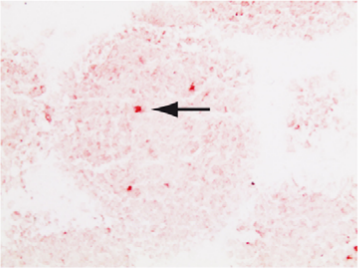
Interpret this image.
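The bulk of the section consists of densely packed, faintly pink cells without strong stain. The strongly stained cells are few, small and compact, lying singly within the aggregate and at its edges. Loose fragments of faint pink tissue lie beside the main aggregate.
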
